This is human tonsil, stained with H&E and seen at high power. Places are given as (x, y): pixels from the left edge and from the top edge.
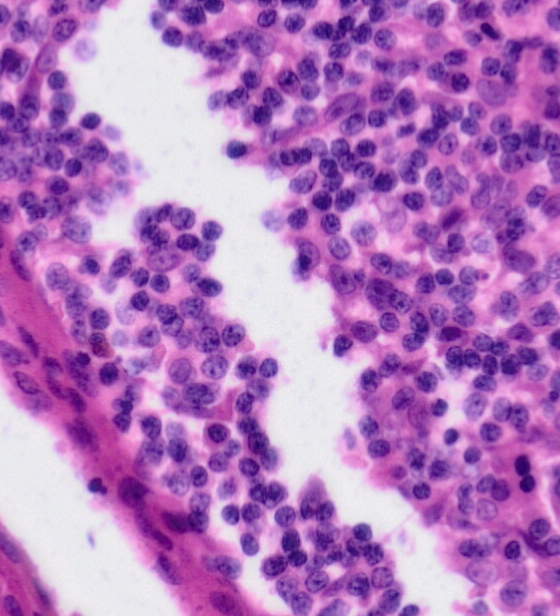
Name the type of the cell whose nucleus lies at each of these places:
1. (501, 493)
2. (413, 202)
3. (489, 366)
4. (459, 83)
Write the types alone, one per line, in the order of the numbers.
squamous epithelial cell
plasma cell
small lymphocyte
plasma cell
